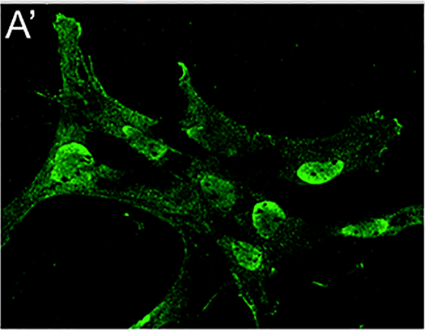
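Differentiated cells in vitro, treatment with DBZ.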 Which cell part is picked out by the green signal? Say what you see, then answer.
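Nucleus. The brightest green fills rounded oval bodies within the cells. Fainter green outlines the spread cell bodies around them.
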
